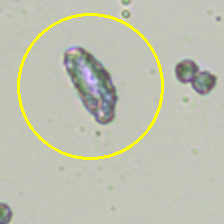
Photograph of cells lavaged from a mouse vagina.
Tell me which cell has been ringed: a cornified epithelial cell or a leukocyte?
It is a cornified epithelial cell.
